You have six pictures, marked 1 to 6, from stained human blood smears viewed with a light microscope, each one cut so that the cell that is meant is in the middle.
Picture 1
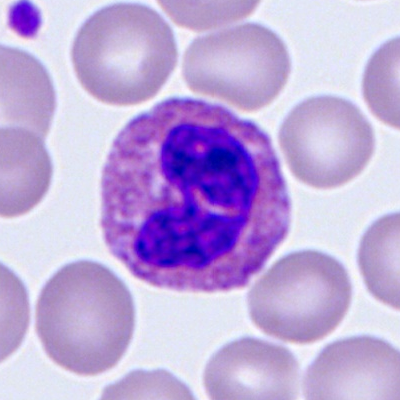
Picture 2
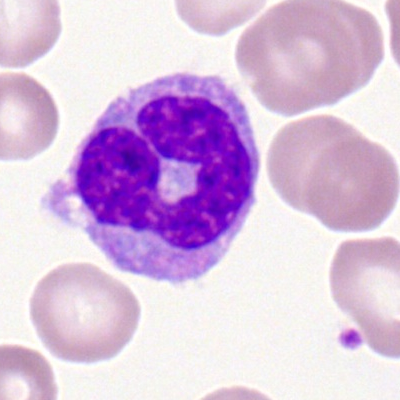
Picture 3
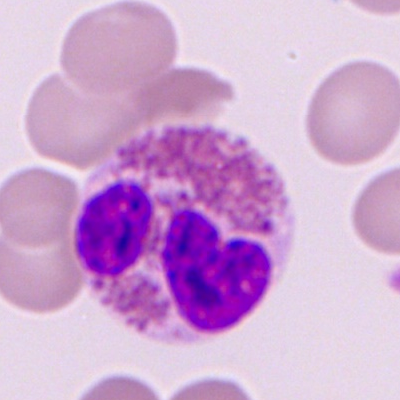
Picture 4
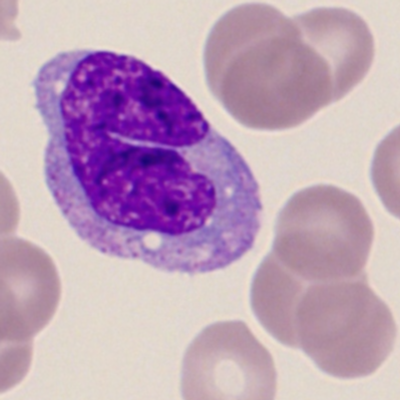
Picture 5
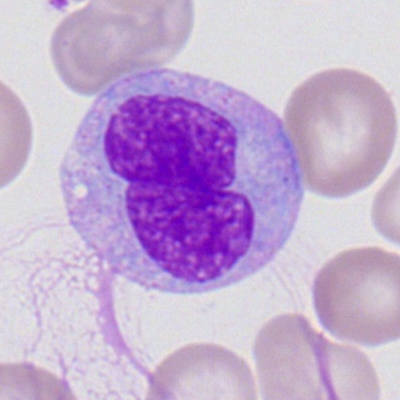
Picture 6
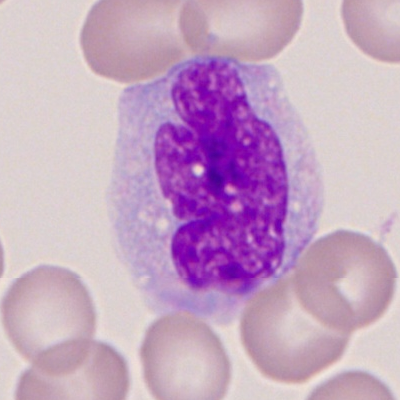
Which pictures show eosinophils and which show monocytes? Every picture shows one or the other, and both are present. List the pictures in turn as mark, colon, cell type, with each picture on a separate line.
1: eosinophil
2: monocyte
3: eosinophil
4: monocyte
5: monocyte
6: monocyte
